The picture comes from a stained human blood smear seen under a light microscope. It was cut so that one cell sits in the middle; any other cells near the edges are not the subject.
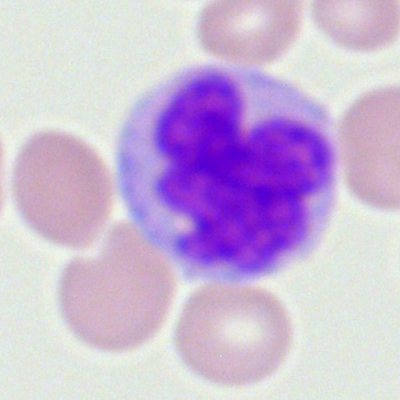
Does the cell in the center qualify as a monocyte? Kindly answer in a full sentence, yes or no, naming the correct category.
Yes, the crop is centred on a monocyte.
